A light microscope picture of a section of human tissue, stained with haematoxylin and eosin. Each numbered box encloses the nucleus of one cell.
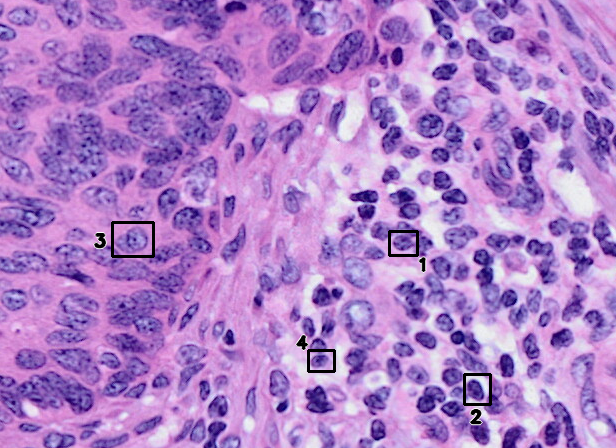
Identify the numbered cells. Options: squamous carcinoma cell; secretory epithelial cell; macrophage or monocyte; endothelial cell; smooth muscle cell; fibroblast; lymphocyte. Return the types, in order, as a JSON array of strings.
["lymphocyte", "lymphocyte", "squamous carcinoma cell", "lymphocyte"]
